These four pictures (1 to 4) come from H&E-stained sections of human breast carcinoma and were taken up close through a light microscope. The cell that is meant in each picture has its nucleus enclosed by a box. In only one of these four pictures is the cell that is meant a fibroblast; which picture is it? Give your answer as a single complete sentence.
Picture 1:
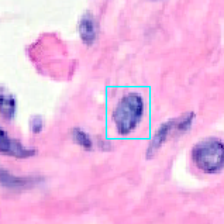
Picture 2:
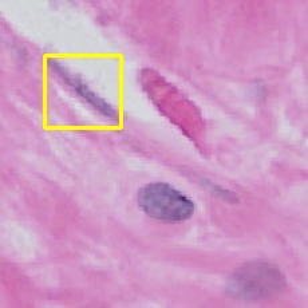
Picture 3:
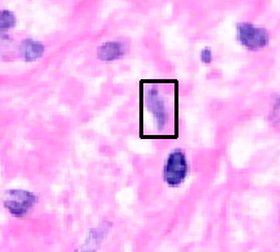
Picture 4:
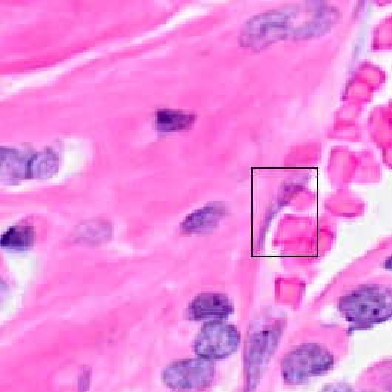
Picture 3 shows the fibroblast.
